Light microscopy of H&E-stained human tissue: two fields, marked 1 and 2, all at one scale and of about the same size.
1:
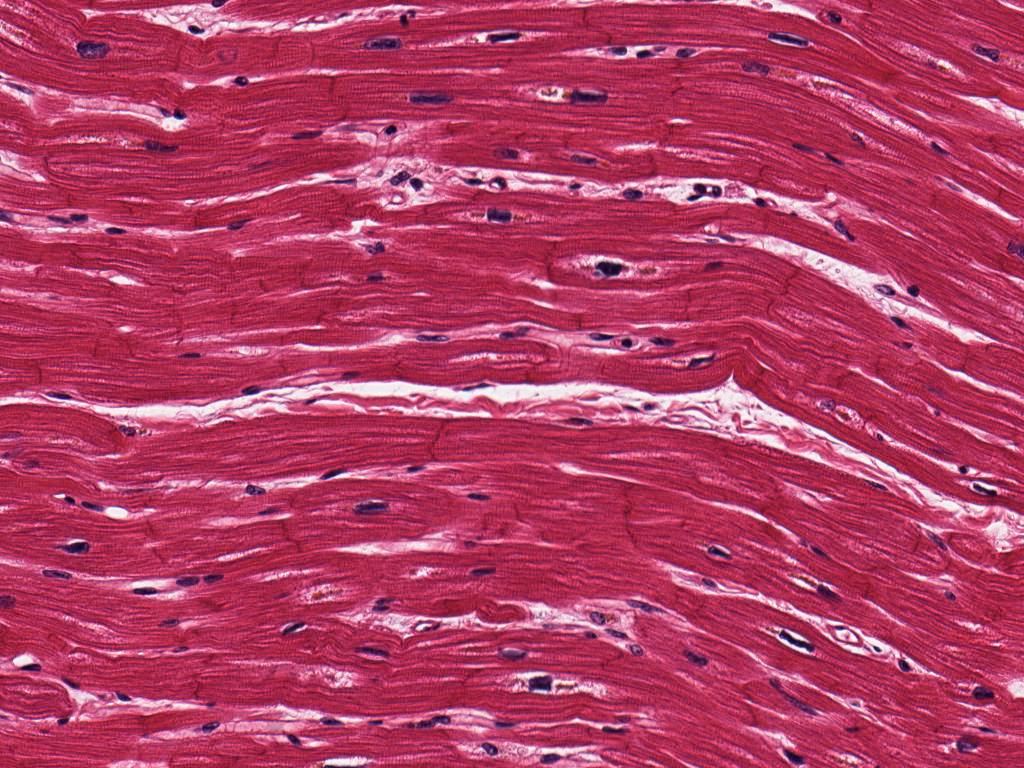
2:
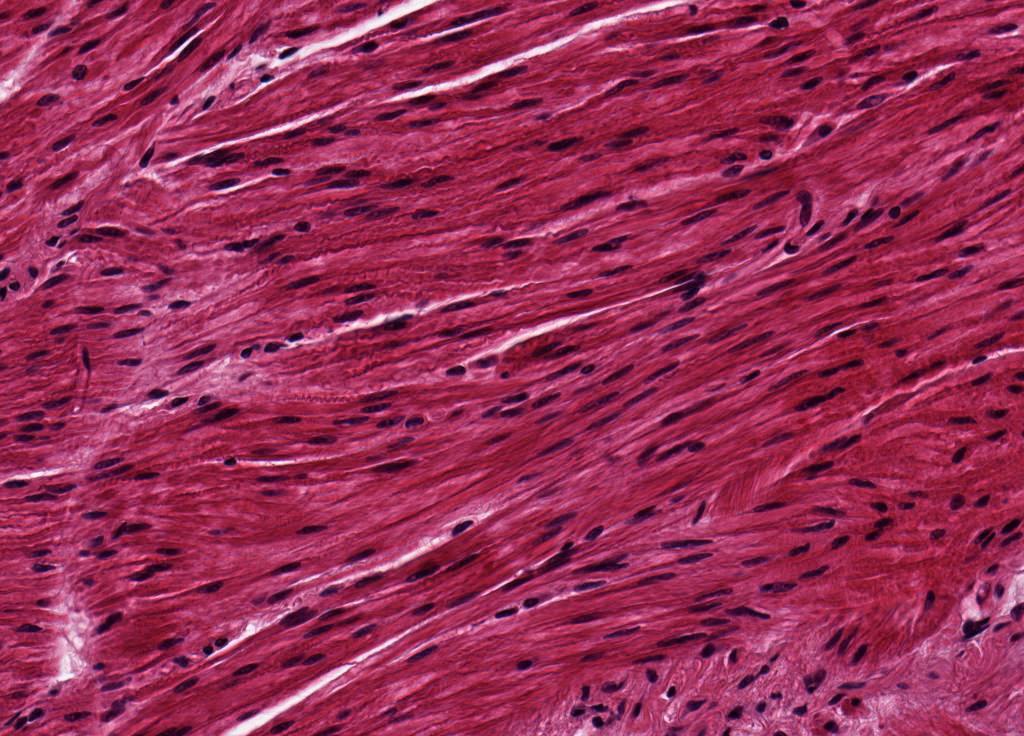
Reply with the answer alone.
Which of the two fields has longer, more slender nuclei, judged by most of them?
2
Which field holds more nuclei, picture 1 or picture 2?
2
